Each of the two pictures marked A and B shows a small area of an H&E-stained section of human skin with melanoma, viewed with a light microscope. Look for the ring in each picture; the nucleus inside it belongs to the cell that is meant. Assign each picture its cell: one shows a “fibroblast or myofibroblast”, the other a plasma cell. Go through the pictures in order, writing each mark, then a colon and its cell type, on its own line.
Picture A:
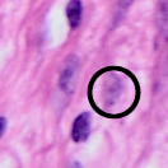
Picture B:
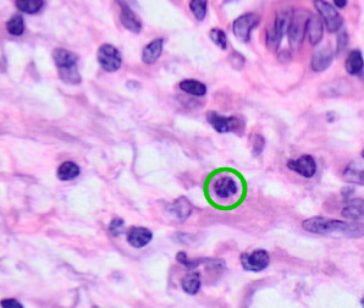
A: fibroblast or myofibroblast
B: plasma cell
